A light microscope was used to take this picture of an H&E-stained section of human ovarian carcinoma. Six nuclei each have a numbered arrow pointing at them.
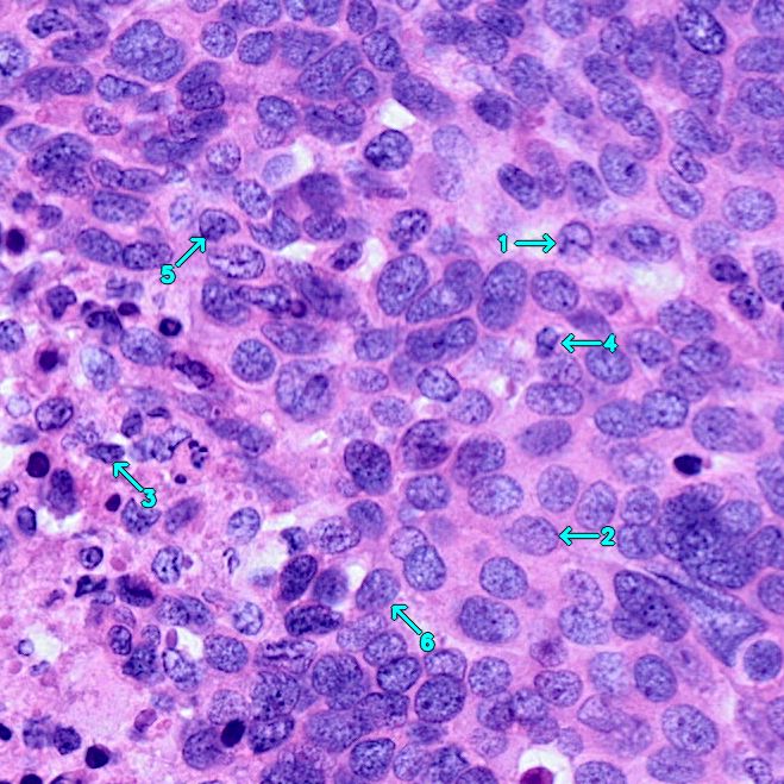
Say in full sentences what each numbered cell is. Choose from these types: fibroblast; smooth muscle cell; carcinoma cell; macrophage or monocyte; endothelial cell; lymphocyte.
Cell 1 is a macrophage or monocyte, cell 2 is a carcinoma cell, cell 3 is a macrophage or monocyte, cell 4 is a macrophage or monocyte, cell 5 is a macrophage or monocyte and cell 6 is a carcinoma cell.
